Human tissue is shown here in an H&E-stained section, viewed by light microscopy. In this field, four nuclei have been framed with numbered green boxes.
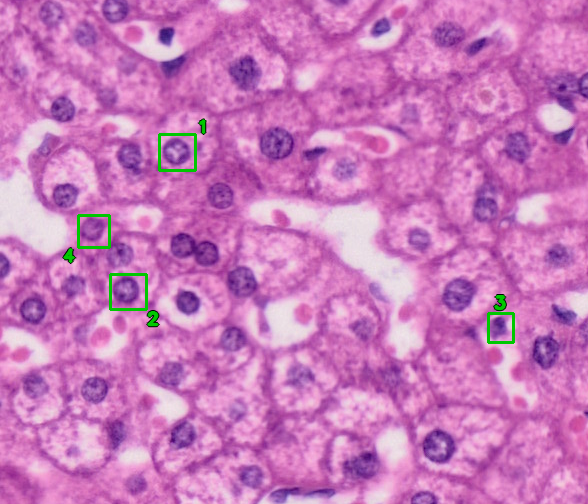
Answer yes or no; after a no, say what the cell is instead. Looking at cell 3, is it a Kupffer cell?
Yes.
